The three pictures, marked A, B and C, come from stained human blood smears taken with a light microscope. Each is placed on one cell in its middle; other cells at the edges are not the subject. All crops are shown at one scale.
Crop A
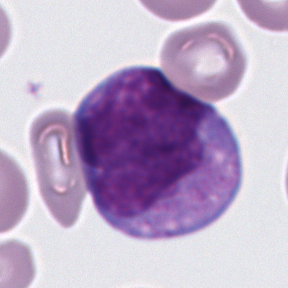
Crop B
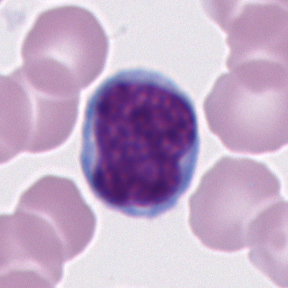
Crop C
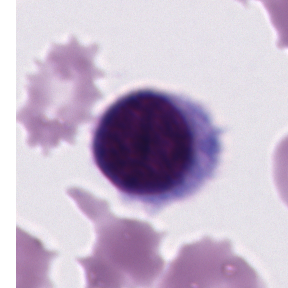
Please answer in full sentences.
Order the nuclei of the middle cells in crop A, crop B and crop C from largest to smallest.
Largest first: A, B, C.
